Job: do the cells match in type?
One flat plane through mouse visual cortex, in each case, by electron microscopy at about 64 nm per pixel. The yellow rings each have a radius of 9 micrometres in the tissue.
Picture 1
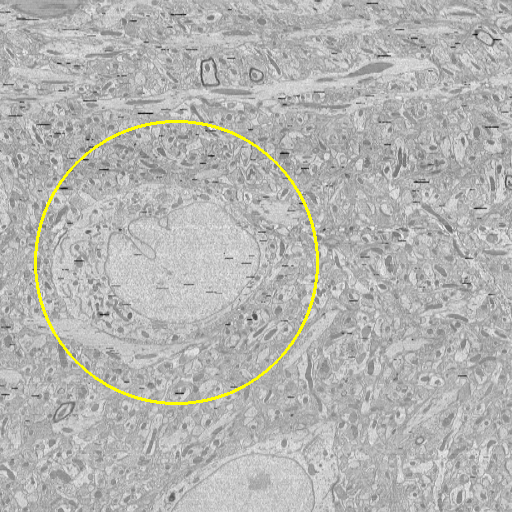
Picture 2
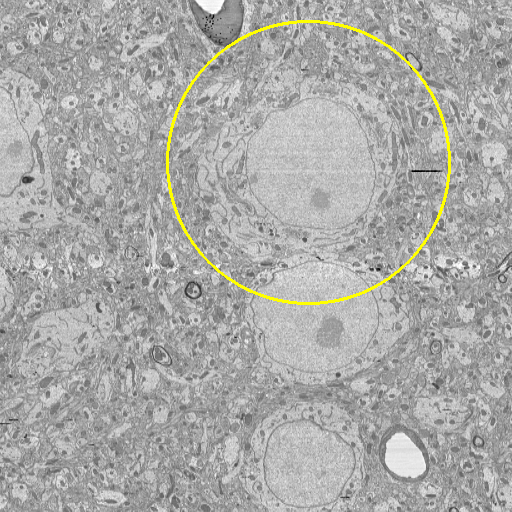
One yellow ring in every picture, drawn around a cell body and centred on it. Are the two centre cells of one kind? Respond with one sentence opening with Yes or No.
No, the ringed cells in the two pictures are of two separate kinds.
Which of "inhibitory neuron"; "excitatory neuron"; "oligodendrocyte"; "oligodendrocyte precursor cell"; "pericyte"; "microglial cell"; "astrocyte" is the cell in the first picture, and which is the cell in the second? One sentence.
The two differ: the first cell is an inhibitory neuron and the second is an excitatory neuron.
